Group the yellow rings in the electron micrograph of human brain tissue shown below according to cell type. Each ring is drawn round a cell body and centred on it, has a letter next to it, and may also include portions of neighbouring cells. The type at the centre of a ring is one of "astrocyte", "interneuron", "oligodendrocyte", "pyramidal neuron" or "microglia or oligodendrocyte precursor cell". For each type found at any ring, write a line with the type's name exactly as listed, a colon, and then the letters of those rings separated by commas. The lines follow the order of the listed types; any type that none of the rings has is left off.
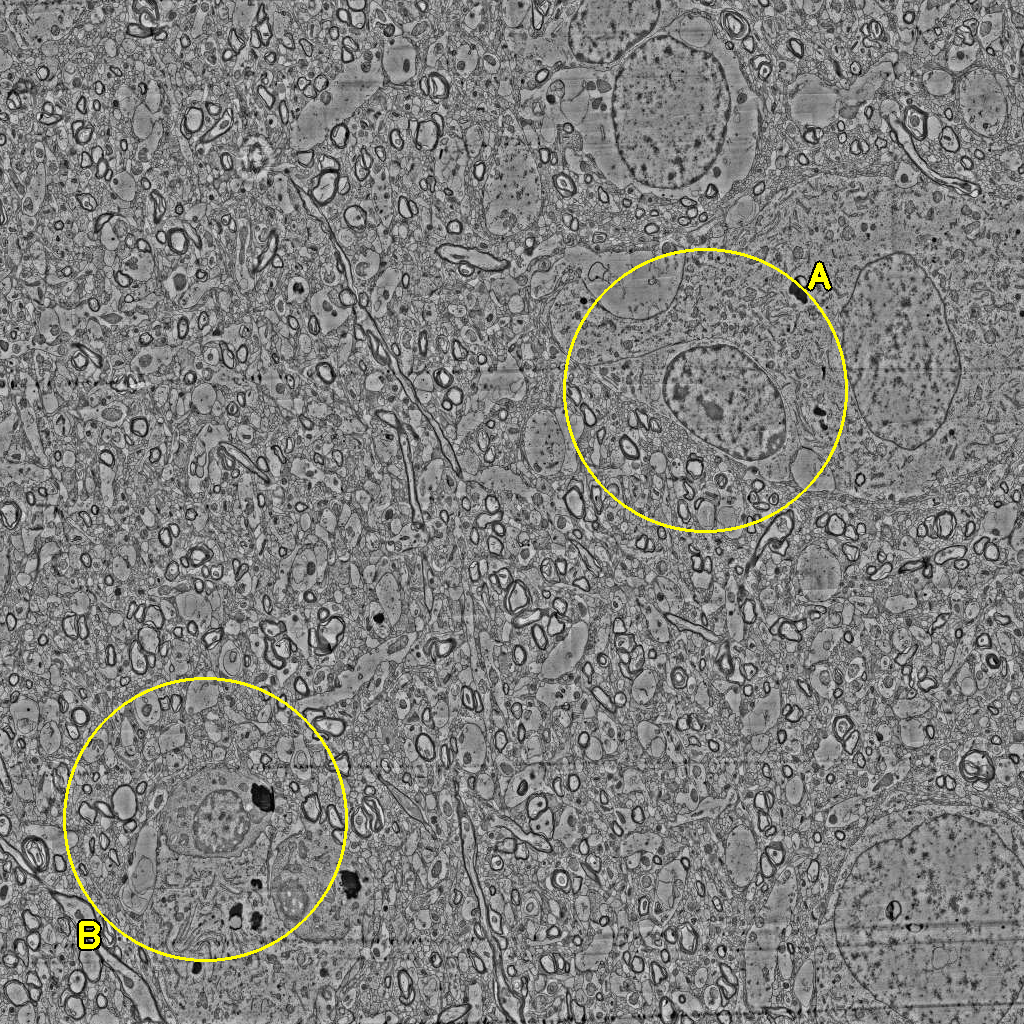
oligodendrocyte: B
microglia or oligodendrocyte precursor cell: A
